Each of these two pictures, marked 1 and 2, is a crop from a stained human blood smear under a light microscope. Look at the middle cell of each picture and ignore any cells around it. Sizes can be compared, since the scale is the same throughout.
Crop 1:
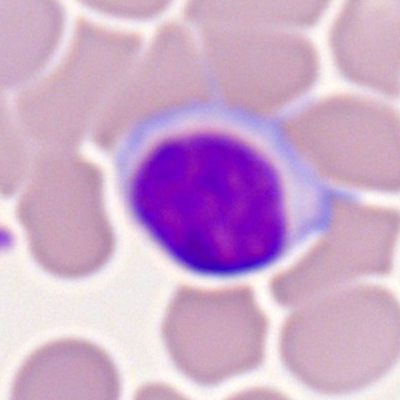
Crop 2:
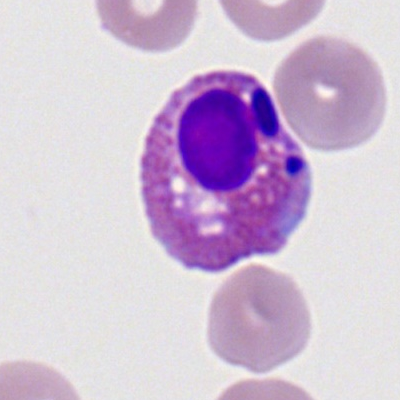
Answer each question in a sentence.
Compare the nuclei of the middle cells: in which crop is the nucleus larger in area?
The nucleus in crop 1 is larger, with about 2 times the area of the one in crop 2.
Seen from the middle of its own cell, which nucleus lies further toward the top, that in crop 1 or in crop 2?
In crop 2 the nucleus is shifted more toward the top.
